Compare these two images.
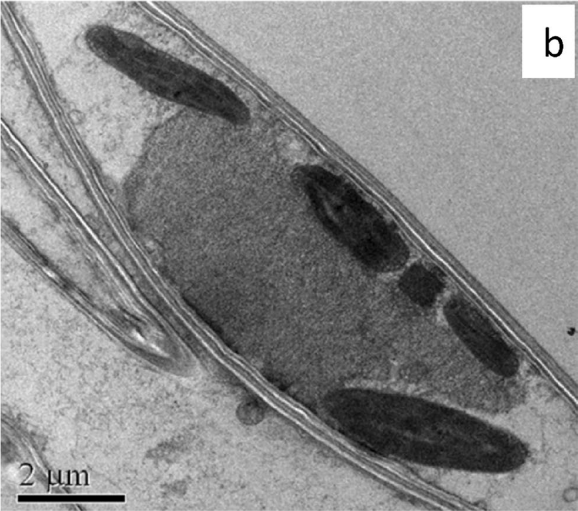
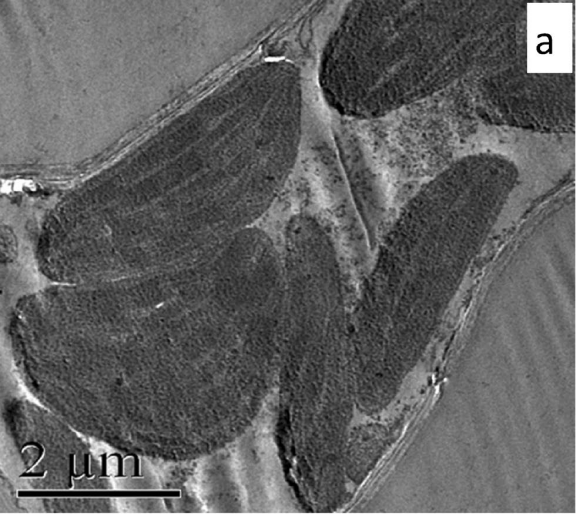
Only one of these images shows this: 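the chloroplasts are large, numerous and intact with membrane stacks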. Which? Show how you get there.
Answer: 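First image: only a few small, narrow dense bodies lie along the wall beside a granular mass. Second image: many large lens-shaped organelles full of parallel membrane stacks fill the cell. The answer: the second image.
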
